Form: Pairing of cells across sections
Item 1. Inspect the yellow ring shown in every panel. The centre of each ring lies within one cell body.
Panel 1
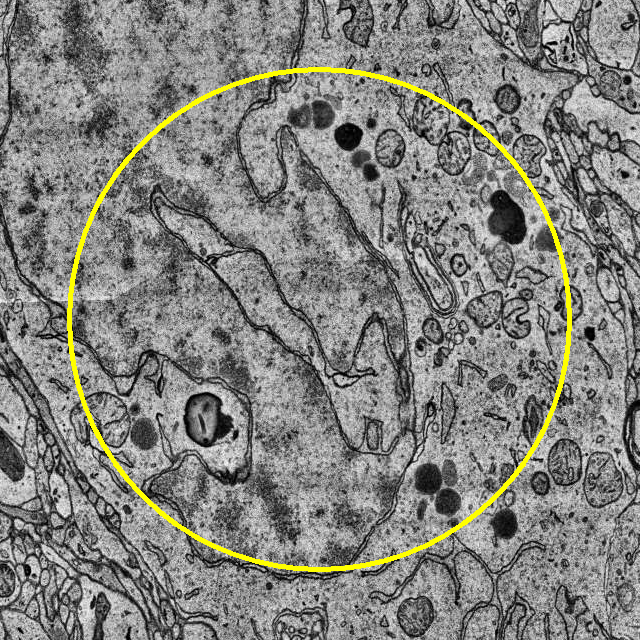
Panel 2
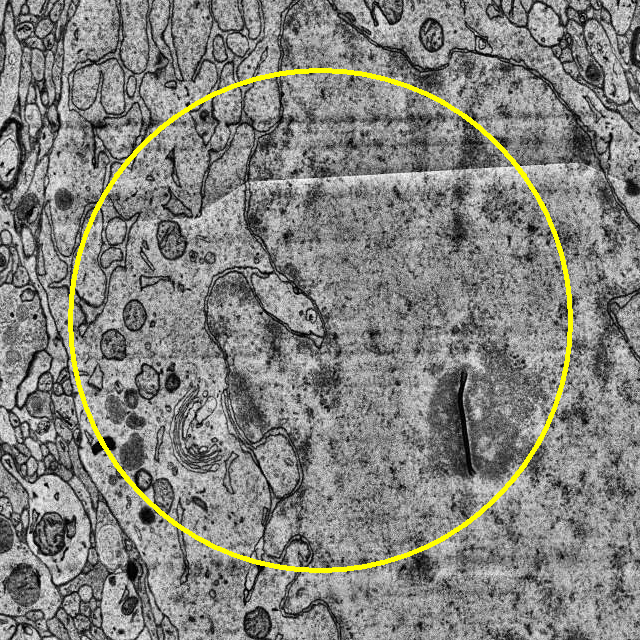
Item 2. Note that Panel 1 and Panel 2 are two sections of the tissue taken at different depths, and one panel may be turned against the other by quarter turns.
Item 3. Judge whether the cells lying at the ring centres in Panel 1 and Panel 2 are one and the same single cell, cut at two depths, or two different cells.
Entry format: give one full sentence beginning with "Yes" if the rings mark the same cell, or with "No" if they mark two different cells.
Yes, the same cell has been marked in both yellow rings.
